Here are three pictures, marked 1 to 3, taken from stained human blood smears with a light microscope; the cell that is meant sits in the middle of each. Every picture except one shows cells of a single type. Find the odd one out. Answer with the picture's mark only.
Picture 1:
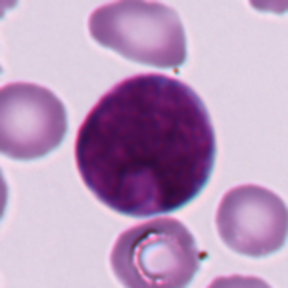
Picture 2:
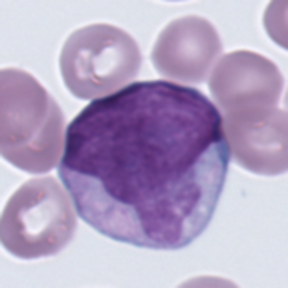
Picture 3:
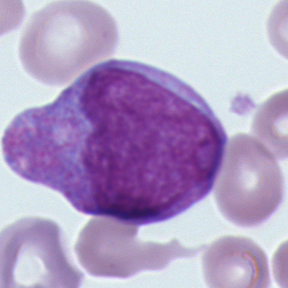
1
